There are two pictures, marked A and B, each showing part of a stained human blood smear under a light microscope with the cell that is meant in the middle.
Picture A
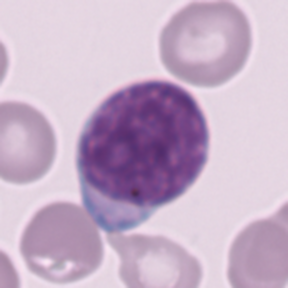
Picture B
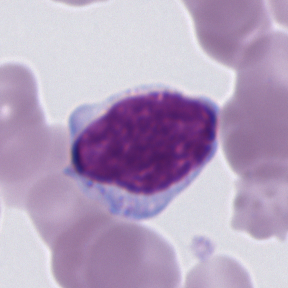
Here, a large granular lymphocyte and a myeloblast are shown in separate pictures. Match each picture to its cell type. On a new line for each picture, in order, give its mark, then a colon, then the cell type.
A: myeloblast
B: large granular lymphocyte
